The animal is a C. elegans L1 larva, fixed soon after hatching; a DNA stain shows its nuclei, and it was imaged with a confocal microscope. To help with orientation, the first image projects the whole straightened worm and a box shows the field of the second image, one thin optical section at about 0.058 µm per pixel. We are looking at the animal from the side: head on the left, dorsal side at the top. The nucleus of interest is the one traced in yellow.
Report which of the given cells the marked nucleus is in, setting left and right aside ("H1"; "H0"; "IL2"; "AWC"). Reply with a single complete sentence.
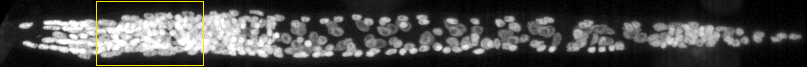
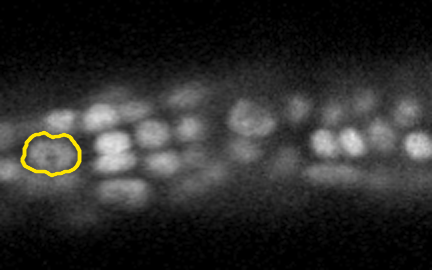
It belongs to H0, a seam cell.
